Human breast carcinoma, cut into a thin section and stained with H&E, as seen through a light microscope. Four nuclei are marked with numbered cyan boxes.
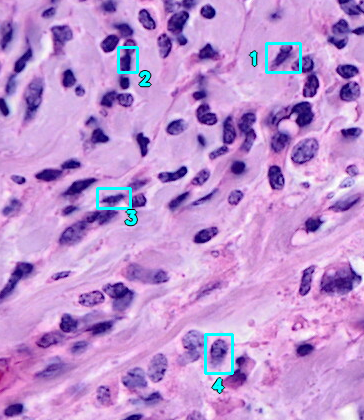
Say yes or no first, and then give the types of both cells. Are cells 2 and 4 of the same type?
No, what is marked as cell 2 is a lymphocyte, and what is marked as cell 4 is a mast cell.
